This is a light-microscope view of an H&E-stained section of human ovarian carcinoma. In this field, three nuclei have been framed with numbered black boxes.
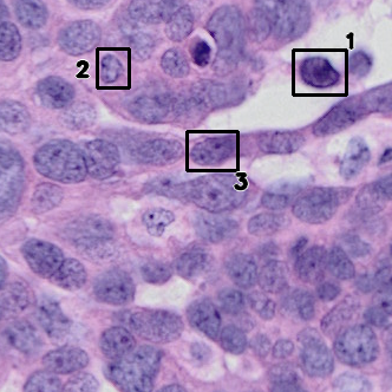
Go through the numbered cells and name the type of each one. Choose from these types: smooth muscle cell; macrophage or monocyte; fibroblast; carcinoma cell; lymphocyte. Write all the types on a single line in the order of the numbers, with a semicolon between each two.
carcinoma cell; macrophage or monocyte; carcinoma cell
